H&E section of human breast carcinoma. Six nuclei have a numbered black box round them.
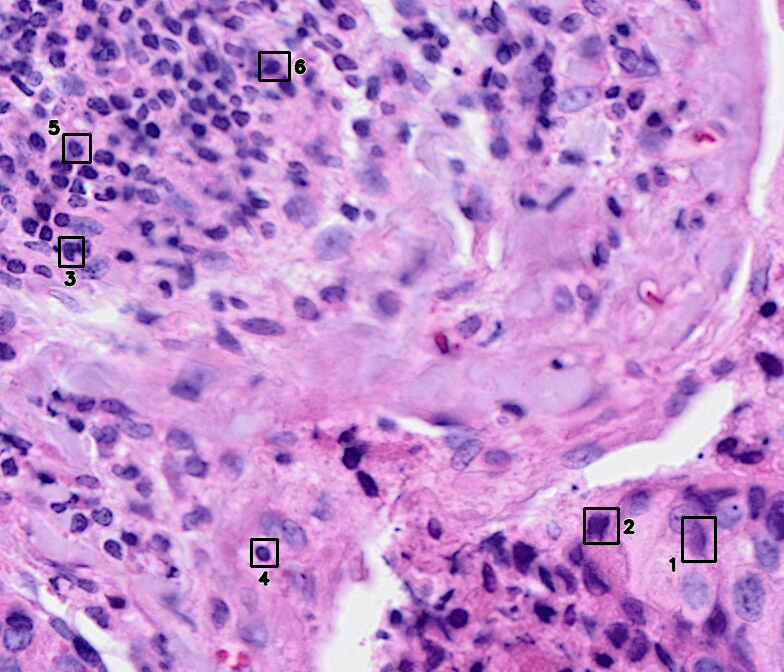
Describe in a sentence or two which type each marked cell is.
Cells 1 and 2 are carcinoma cells. Cells 3, 4, 5 and 6 are lymphocytes.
